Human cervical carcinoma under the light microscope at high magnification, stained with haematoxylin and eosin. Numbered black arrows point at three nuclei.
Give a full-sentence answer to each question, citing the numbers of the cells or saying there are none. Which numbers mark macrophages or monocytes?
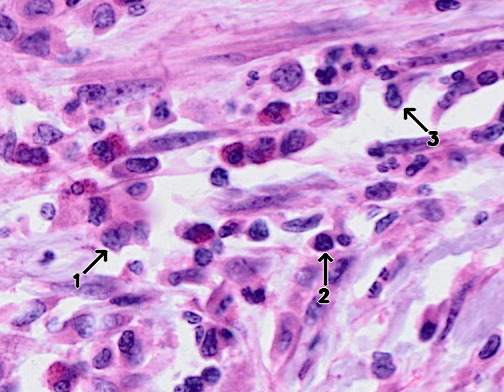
The only cell among those numbered to be a macrophage or monocyte is number 1.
